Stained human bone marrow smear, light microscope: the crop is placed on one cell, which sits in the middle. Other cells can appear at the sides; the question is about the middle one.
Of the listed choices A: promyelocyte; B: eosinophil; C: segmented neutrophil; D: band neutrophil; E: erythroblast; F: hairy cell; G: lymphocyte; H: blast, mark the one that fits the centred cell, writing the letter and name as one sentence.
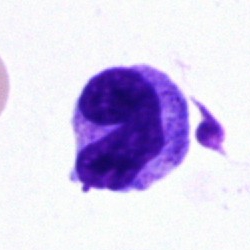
The central cell in this crop is a band neutrophil, so the correct choice is option D.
